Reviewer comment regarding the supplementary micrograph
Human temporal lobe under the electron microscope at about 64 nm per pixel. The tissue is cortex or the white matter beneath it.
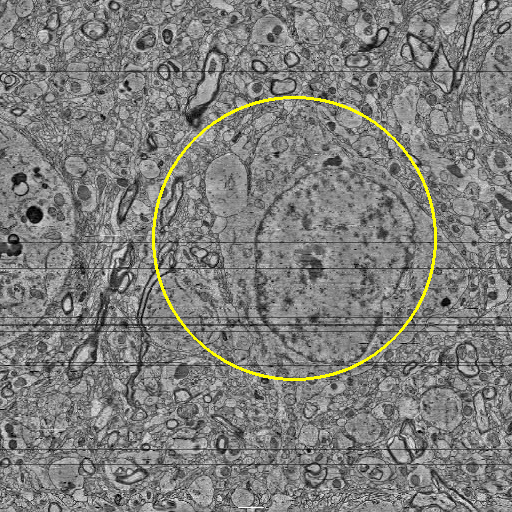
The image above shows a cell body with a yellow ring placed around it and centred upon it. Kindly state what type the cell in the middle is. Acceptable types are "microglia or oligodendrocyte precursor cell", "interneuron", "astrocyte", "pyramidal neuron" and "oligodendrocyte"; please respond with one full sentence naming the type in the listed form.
In the image above, the cell on which the yellow ring is centred is an interneuron.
